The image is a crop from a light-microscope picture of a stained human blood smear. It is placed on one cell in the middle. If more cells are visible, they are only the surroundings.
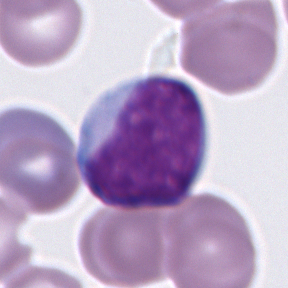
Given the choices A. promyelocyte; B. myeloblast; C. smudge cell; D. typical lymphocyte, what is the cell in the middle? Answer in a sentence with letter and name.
The cell in the middle is a myeloblast, and that makes option B correct.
